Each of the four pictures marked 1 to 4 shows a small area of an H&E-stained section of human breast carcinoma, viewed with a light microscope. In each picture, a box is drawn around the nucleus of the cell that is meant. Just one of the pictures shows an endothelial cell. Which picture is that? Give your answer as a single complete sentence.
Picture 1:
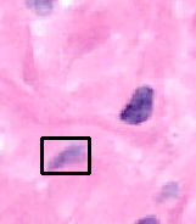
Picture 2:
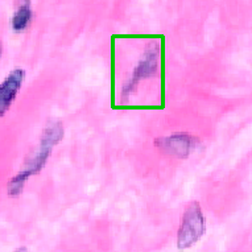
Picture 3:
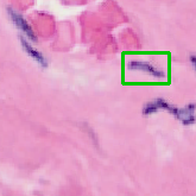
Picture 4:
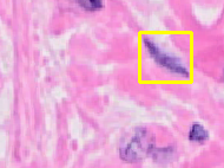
The picture with the endothelial cell is 3.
